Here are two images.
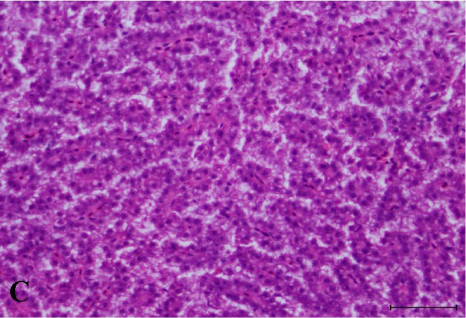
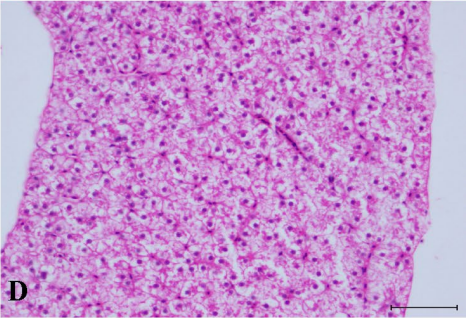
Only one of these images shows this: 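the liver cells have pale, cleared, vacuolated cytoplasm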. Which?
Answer: The second image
